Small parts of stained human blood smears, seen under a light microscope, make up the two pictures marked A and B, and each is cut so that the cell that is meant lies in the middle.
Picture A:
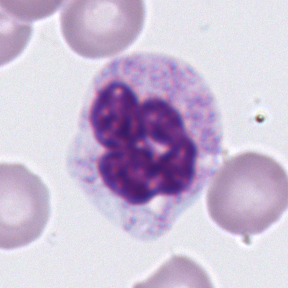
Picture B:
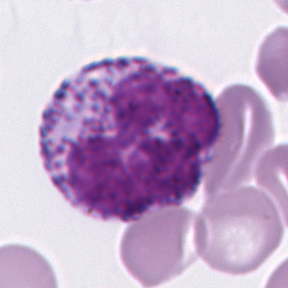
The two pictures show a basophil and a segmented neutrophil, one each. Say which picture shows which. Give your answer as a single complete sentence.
Picture A is of a segmented neutrophil, and picture B is of a basophil.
